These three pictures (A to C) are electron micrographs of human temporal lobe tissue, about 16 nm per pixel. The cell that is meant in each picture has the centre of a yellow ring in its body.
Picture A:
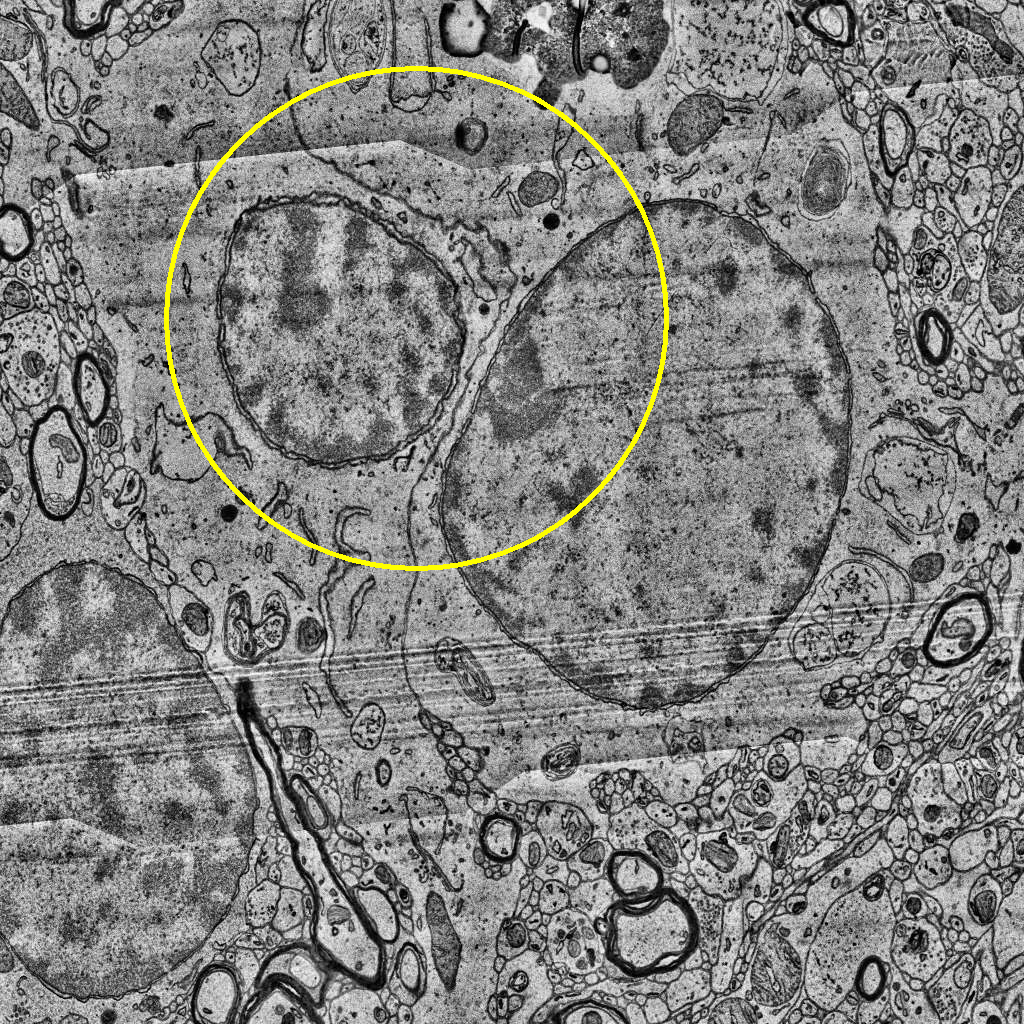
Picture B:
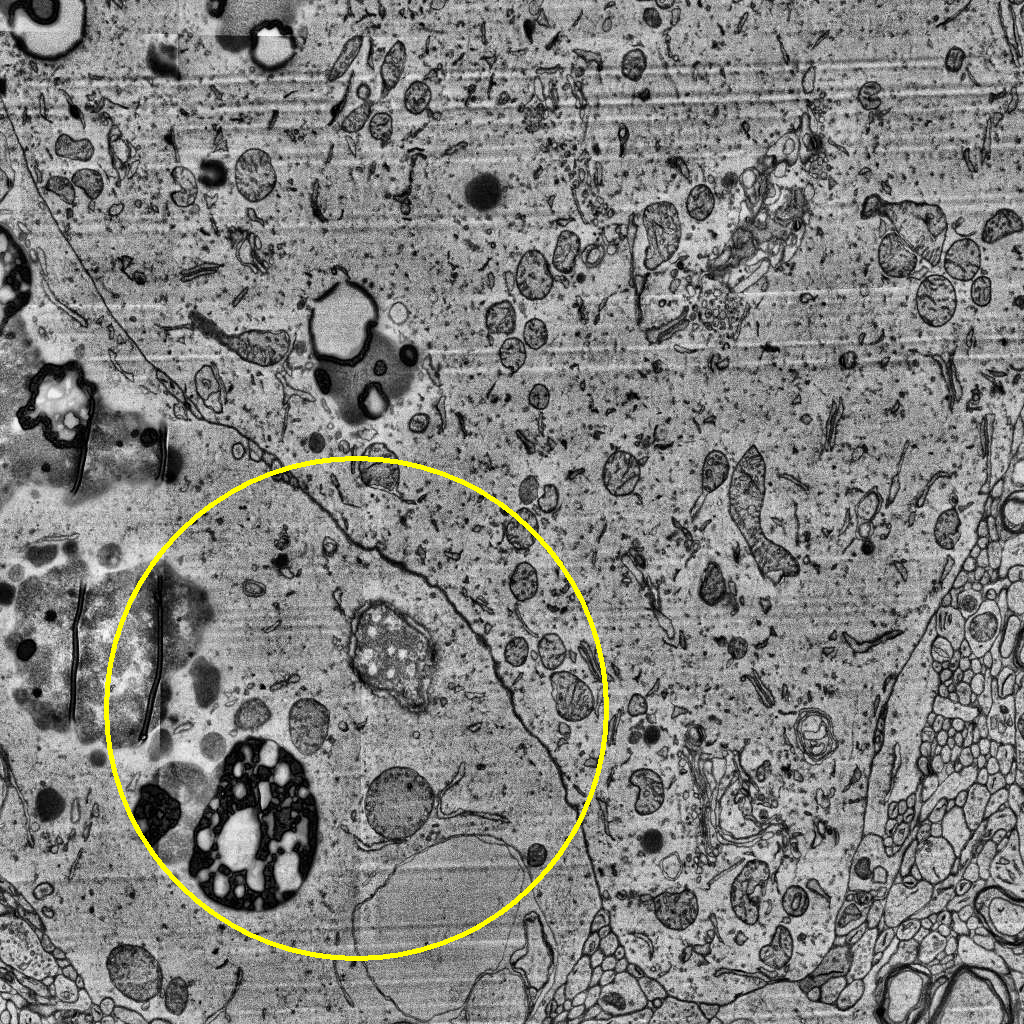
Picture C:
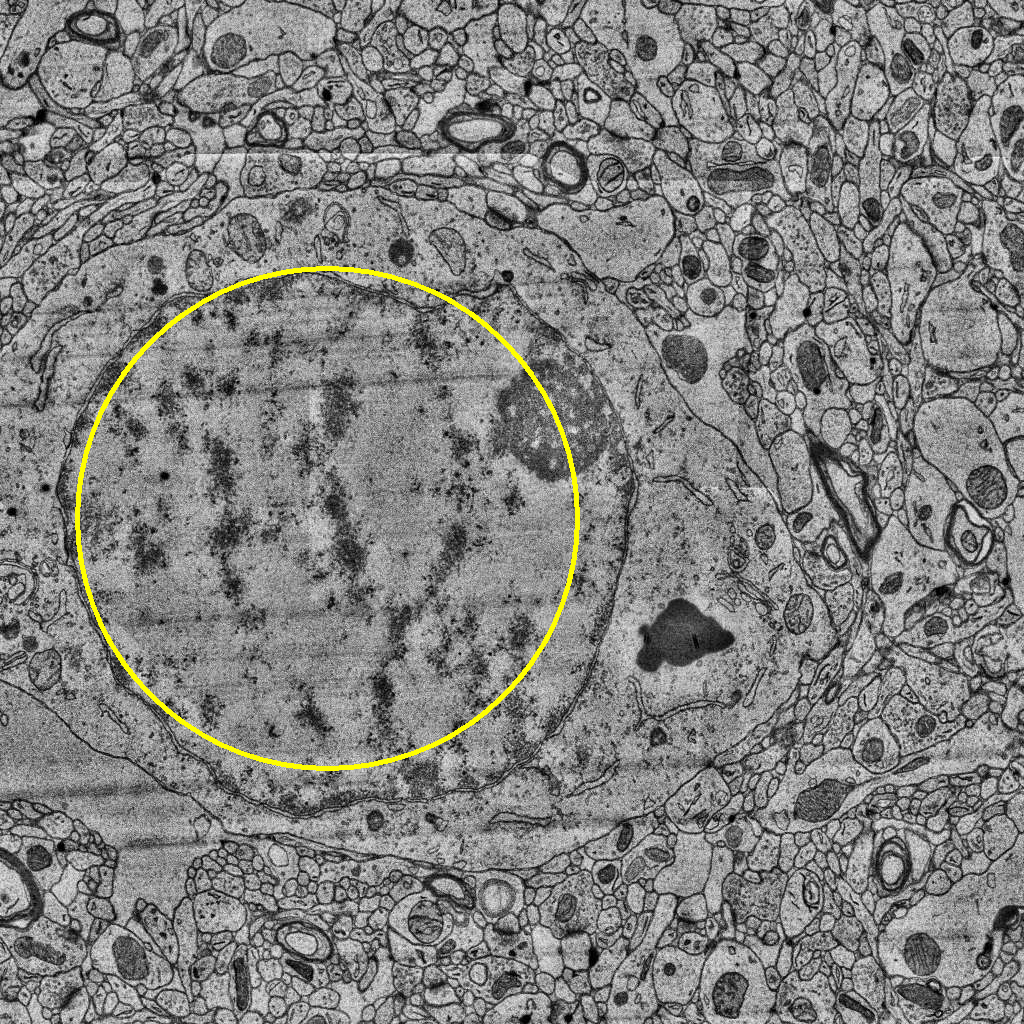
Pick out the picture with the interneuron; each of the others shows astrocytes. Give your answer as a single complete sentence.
The picture with the interneuron is C.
